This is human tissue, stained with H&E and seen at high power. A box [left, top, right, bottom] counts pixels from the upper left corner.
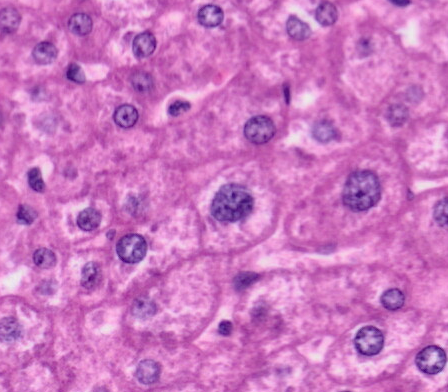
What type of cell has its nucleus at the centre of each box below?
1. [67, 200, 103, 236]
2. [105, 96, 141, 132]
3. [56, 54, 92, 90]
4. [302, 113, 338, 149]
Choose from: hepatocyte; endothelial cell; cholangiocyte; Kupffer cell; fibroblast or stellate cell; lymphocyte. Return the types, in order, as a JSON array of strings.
["hepatocyte", "hepatocyte", "endothelial cell", "hepatocyte"]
